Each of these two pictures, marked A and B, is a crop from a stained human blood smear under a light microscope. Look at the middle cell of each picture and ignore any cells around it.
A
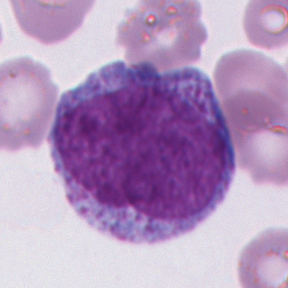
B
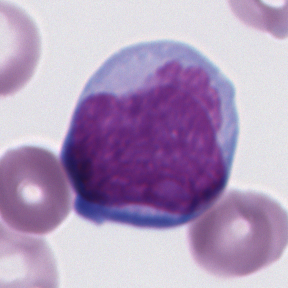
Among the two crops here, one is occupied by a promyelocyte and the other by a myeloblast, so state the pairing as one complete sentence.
The middle of crop A is occupied by a promyelocyte, and the middle of crop B by a myeloblast.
